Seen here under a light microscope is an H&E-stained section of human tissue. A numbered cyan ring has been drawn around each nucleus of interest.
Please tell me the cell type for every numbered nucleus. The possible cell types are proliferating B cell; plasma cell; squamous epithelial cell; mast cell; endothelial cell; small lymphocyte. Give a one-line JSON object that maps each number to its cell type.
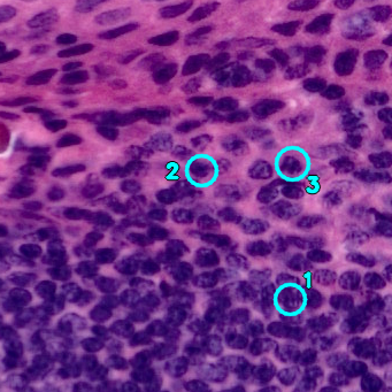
{"1": "small lymphocyte", "2": "plasma cell", "3": "plasma cell"}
